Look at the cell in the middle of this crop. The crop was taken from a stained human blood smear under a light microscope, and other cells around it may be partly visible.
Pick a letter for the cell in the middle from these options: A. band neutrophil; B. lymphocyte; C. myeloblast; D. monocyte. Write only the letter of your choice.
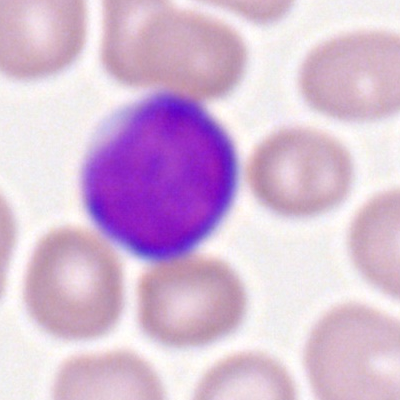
C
